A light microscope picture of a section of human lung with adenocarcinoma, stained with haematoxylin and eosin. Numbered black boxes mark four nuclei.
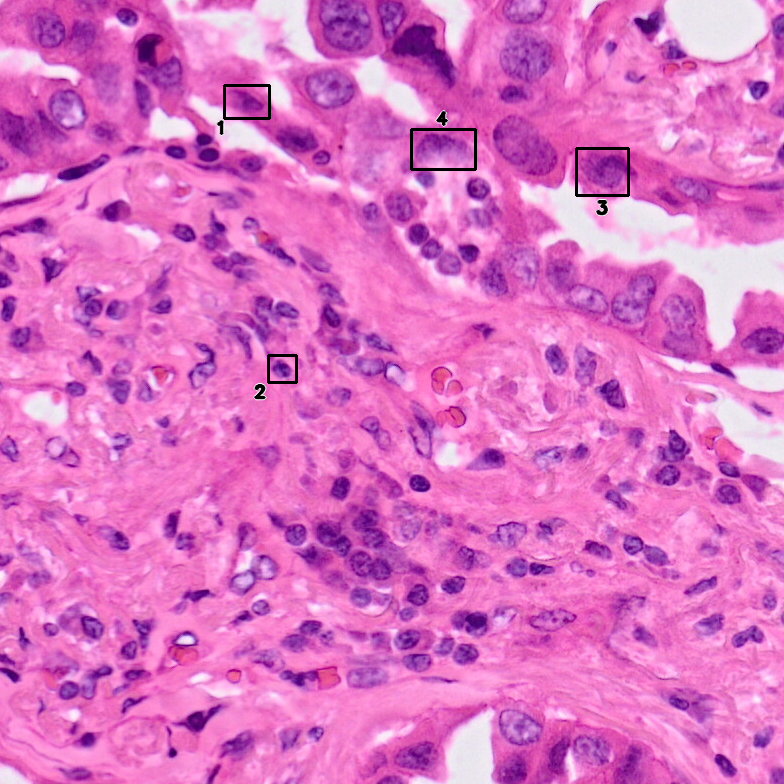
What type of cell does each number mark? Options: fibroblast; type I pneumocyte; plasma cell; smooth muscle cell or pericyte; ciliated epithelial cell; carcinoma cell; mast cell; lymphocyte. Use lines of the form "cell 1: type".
cell 1: carcinoma cell
cell 2: lymphocyte
cell 3: carcinoma cell
cell 4: carcinoma cell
